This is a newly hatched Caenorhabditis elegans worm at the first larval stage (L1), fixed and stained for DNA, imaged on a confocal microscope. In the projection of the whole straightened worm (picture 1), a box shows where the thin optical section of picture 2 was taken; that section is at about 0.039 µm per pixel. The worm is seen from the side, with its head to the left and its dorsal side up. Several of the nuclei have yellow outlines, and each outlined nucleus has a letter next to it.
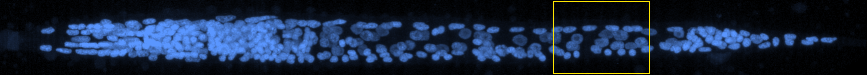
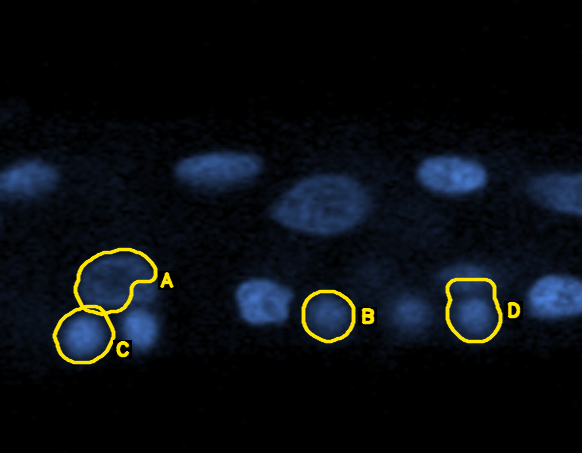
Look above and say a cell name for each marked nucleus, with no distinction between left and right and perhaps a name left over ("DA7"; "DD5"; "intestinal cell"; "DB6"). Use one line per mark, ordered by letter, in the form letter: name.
A: intestinal cell
B: DD5
C: DB6
D: DA7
